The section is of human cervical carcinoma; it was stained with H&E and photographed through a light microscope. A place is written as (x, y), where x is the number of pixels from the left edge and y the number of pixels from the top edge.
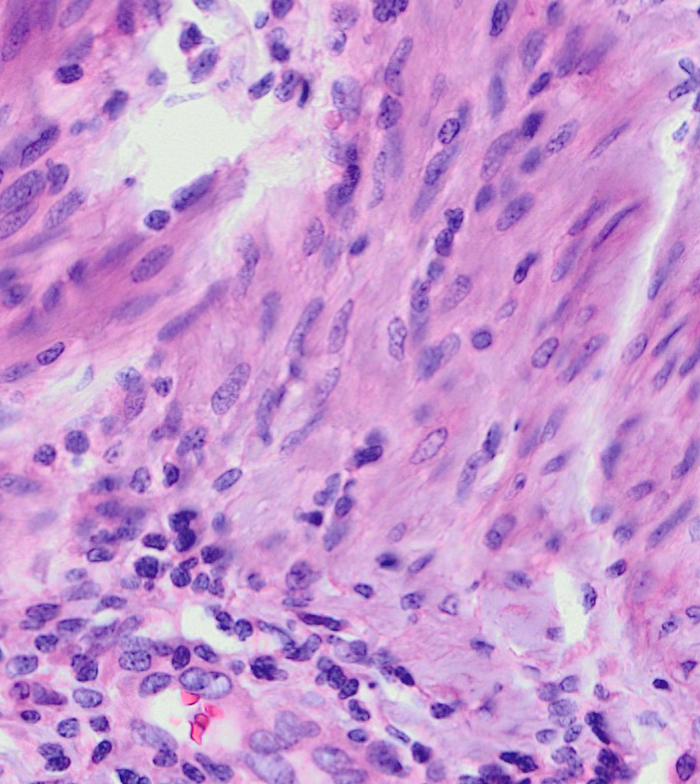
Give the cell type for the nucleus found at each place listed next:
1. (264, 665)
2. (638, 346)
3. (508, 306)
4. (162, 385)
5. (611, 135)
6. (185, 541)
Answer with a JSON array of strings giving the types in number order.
["lymphocyte", "smooth muscle cell", "smooth muscle cell", "lymphocyte", "smooth muscle cell", "lymphocyte"]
